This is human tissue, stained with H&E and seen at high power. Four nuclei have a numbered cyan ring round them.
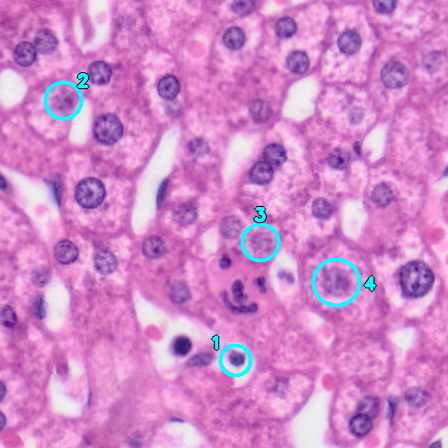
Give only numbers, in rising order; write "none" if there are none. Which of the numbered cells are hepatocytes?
2, 3, 4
